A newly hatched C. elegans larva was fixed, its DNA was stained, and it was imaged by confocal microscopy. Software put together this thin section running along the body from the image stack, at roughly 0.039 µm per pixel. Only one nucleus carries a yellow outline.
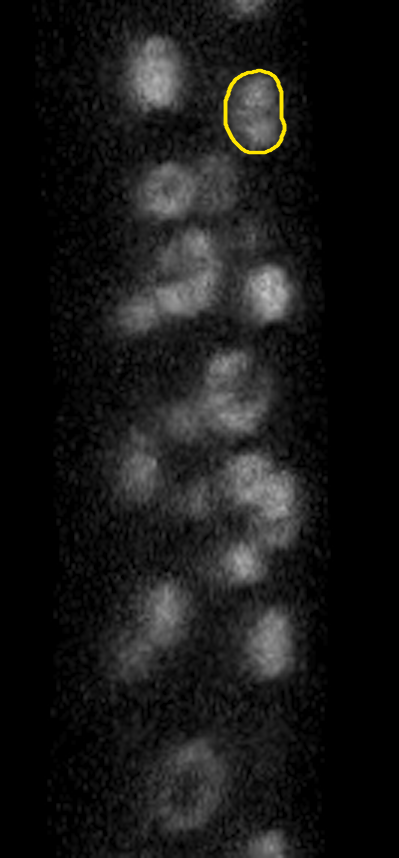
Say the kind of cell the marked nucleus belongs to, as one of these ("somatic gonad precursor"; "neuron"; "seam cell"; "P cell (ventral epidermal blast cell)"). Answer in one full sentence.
The marked nucleus belongs to a seam cell.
